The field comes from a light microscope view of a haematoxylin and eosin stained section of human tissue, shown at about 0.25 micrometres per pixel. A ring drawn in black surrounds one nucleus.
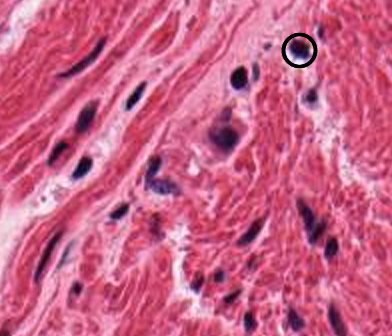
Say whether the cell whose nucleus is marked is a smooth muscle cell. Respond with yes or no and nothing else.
no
